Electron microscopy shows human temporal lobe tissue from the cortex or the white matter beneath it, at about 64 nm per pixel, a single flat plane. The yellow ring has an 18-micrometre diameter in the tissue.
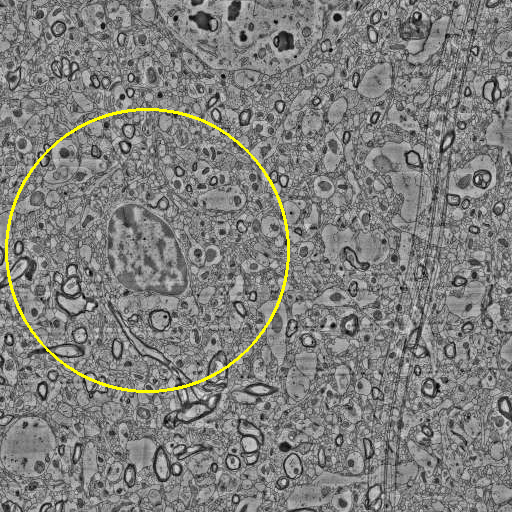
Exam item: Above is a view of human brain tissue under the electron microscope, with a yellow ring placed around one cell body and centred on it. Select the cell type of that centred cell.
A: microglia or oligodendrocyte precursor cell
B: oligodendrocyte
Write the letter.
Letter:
A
